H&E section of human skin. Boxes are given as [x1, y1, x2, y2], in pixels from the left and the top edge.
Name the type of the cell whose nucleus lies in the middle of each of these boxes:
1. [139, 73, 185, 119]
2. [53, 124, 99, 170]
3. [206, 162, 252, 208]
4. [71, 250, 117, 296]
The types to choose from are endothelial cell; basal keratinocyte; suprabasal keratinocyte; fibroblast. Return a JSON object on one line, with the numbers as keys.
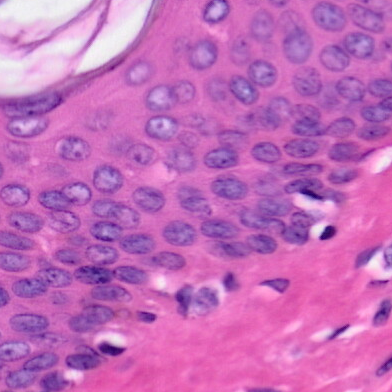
{"1": "suprabasal keratinocyte", "2": "suprabasal keratinocyte", "3": "suprabasal keratinocyte", "4": "basal keratinocyte"}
